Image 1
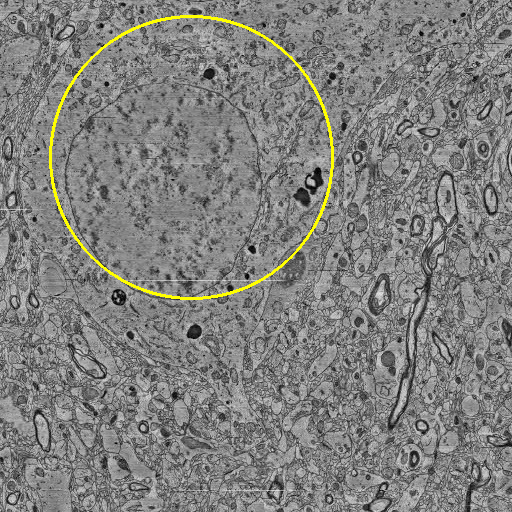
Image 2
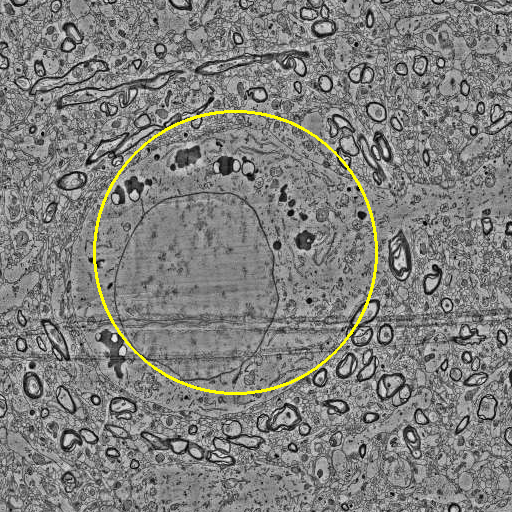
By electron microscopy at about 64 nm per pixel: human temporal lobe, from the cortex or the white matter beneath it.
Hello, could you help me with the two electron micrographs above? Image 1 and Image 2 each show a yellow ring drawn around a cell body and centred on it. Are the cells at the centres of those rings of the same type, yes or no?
yes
